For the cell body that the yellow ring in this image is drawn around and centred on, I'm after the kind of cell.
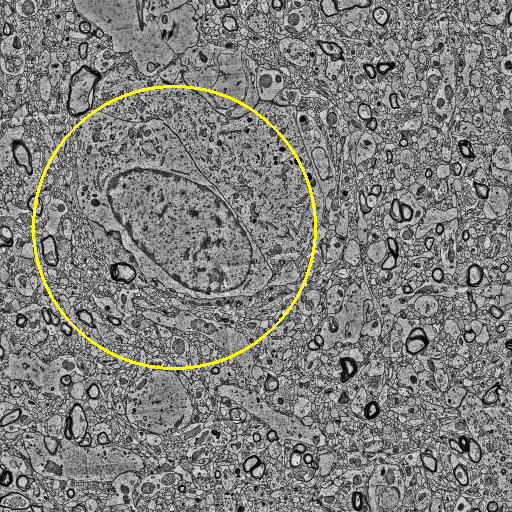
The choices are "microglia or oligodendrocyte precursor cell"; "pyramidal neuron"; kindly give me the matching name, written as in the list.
microglia or oligodendrocyte precursor cell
